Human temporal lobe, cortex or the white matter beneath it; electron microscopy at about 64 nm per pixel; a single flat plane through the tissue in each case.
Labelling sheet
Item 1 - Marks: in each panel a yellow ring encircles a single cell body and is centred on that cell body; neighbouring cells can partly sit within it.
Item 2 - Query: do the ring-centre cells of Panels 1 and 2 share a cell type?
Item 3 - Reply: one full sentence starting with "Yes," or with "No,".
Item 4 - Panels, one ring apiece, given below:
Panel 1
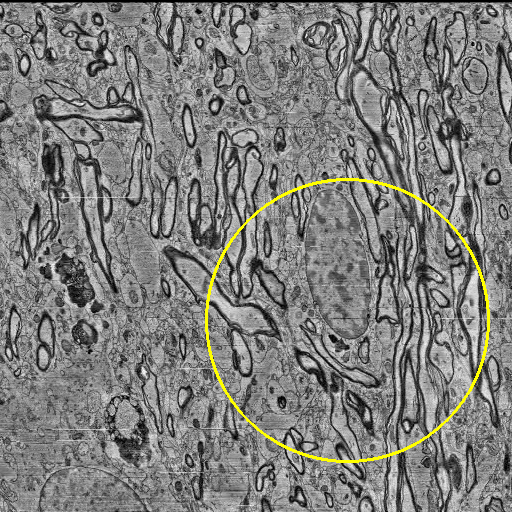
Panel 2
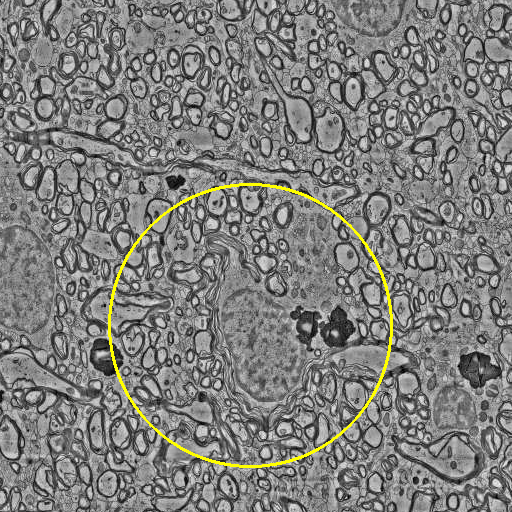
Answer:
No, Panel 1 and Panel 2 show two cell types at the centres of their rings.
